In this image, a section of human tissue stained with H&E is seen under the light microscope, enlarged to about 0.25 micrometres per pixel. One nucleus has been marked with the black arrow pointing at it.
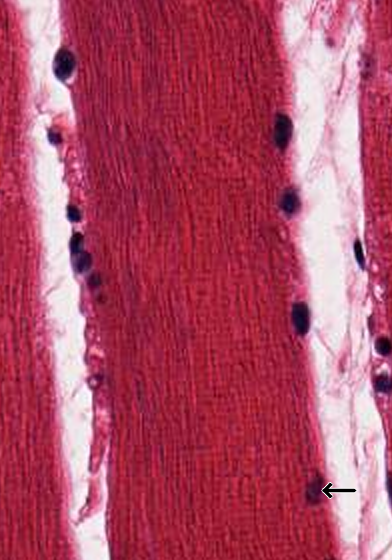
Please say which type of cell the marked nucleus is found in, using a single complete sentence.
On this slide, the marked nucleus belongs to a skeletal muscle fibre.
